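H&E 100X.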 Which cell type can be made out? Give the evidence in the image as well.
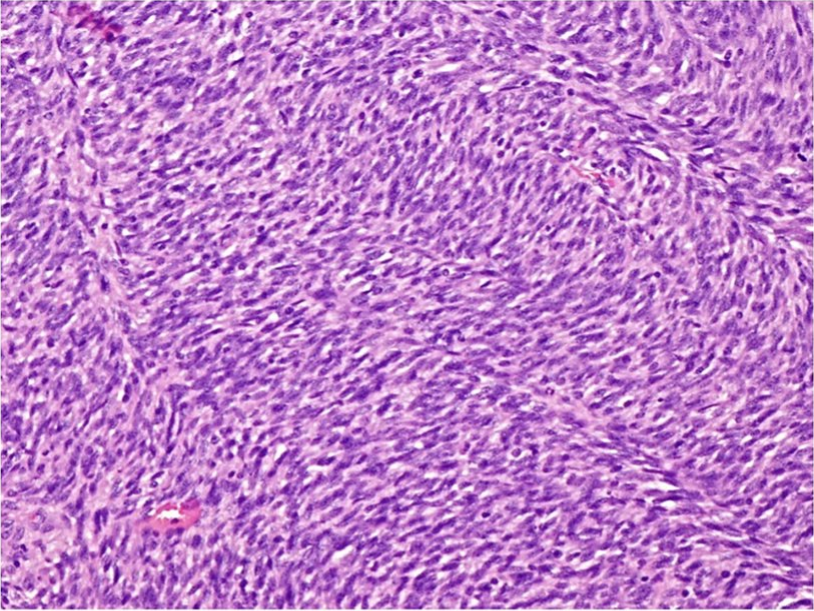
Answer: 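Spindled tumor cells. Densely packed cells with elongated, spindle-shaped nuclei. Cells fill the field with little intervening stroma.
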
